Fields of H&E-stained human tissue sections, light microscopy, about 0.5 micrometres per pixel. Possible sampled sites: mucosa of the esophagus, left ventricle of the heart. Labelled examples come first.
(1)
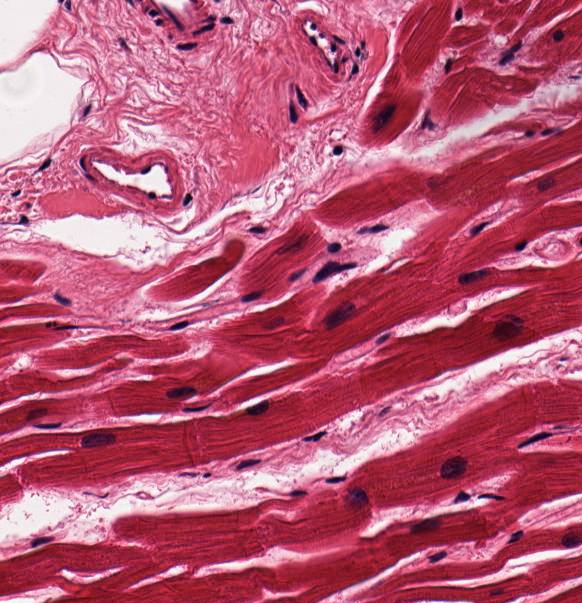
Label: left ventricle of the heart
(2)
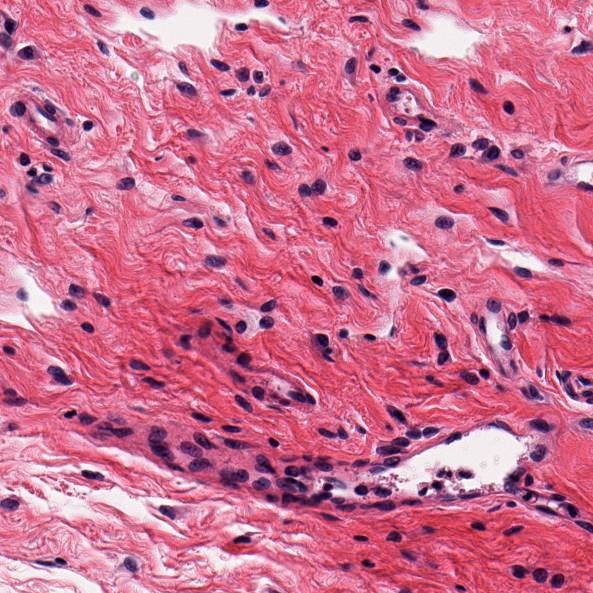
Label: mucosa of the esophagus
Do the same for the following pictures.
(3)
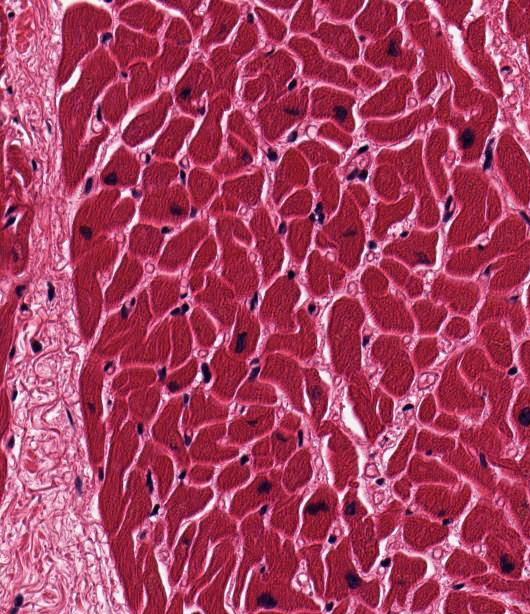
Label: left ventricle of the heart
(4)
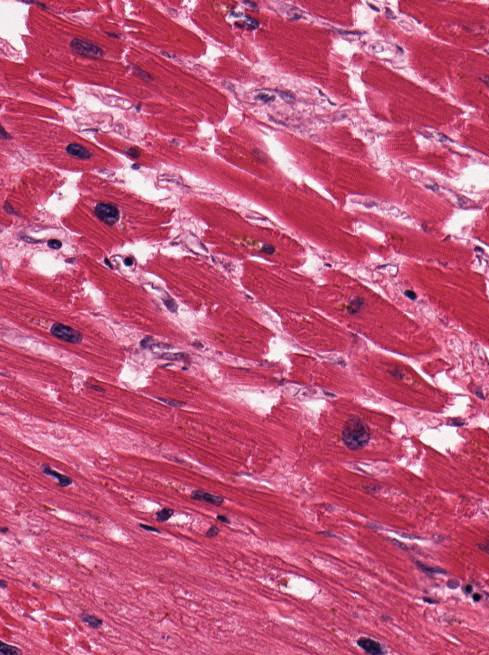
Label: left ventricle of the heart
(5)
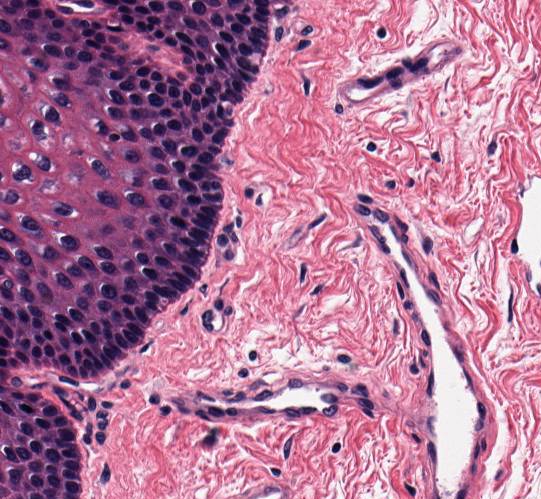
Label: mucosa of the esophagus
